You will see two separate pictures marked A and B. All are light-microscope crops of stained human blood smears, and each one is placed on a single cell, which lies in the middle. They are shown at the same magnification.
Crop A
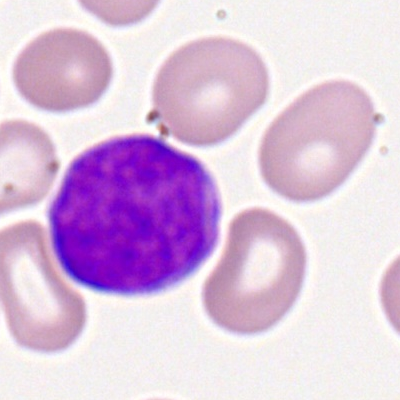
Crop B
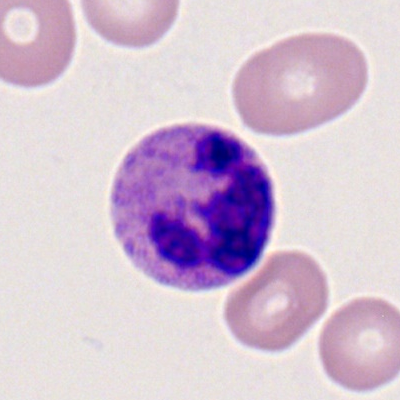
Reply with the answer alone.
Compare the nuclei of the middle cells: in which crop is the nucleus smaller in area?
B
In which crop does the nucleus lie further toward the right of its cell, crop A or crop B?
B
